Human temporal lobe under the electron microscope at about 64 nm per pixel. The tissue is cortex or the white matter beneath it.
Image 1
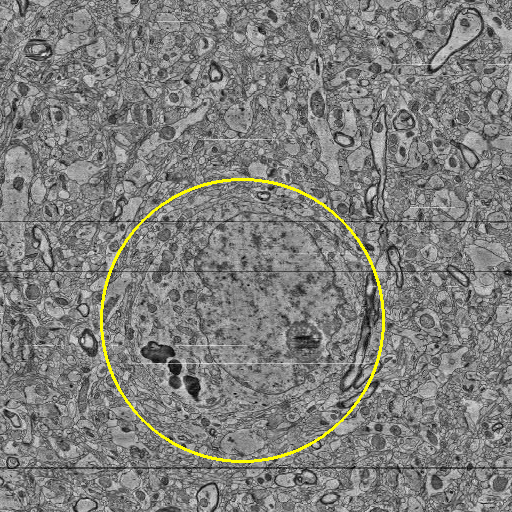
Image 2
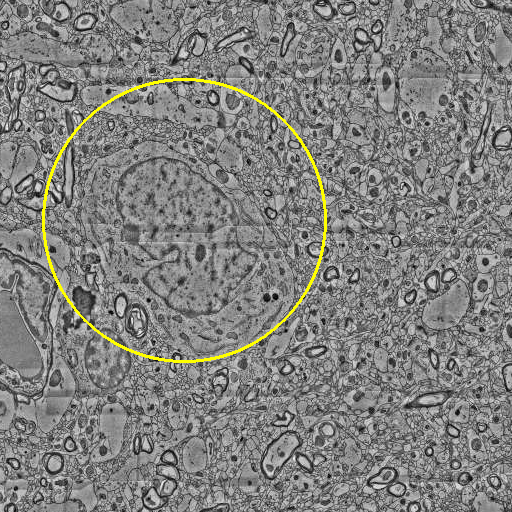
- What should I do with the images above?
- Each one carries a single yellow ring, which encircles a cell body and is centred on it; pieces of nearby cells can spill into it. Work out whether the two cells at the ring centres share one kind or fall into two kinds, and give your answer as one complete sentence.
The ring-centre cells of Image 1 and Image 2 share one kind.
